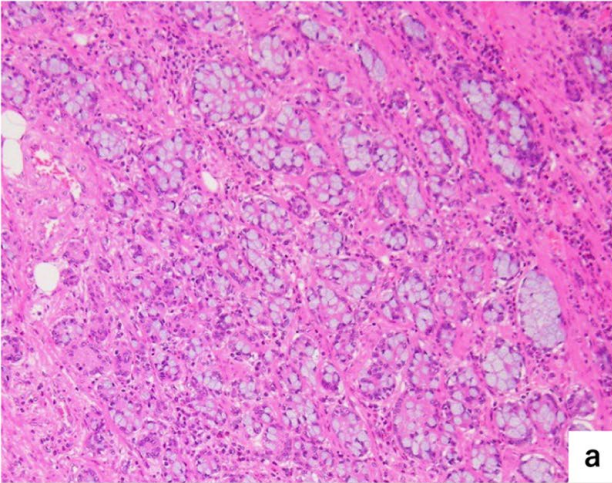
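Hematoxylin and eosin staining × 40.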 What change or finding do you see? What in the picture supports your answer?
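Atypical cells tended to form clusters. Cells are grouped in rounded nests separated by pink fibrous stroma. Nests contain cells with pale bubbly cytoplasm. The nests are densely packed across the field.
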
